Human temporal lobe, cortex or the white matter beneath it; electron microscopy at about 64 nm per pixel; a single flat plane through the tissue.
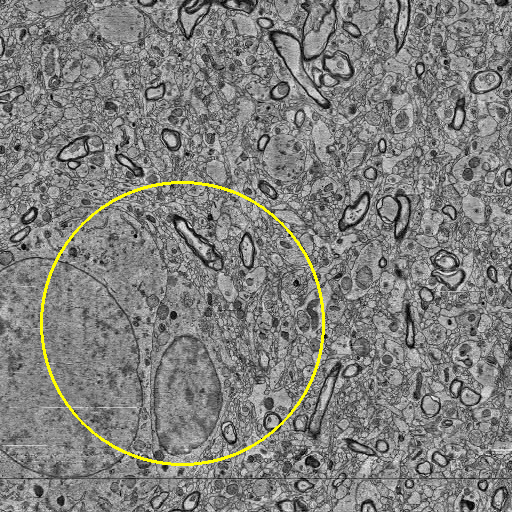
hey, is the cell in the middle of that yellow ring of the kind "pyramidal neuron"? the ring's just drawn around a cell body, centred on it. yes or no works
no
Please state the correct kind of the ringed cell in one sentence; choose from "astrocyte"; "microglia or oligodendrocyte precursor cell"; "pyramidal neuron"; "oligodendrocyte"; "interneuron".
The ring's central cell is an oligodendrocyte instead.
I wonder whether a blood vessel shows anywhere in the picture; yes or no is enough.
No, there is none.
